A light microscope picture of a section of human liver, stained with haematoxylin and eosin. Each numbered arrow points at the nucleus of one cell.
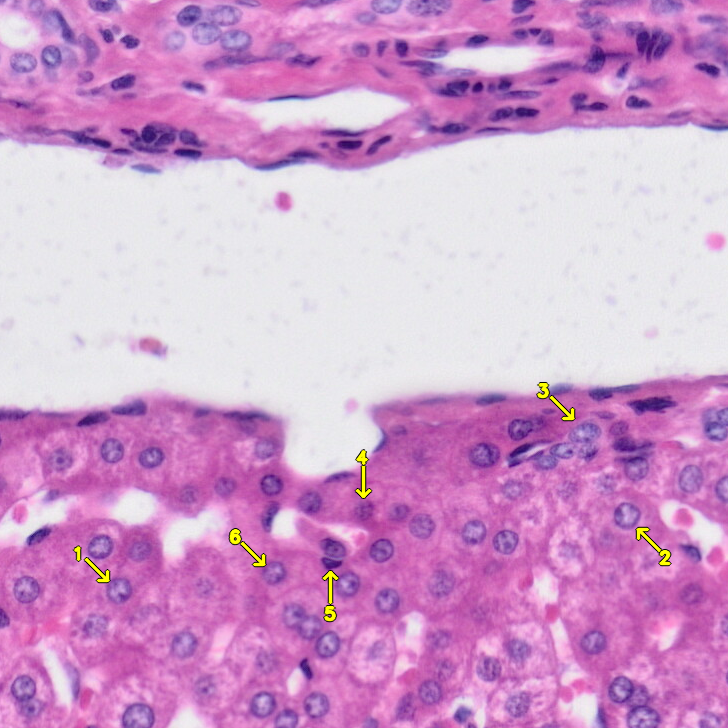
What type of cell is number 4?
hepatocyte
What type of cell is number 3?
cholangiocyte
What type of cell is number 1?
hepatocyte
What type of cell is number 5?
fibroblast or stellate cell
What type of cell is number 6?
hepatocyte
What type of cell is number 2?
hepatocyte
